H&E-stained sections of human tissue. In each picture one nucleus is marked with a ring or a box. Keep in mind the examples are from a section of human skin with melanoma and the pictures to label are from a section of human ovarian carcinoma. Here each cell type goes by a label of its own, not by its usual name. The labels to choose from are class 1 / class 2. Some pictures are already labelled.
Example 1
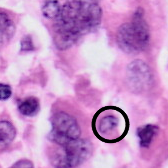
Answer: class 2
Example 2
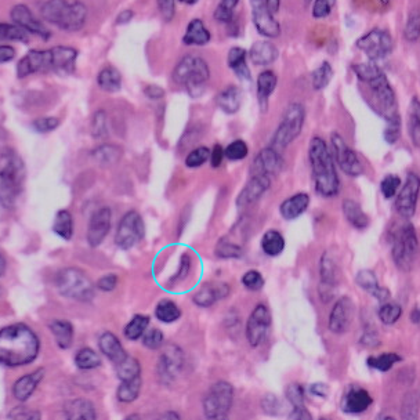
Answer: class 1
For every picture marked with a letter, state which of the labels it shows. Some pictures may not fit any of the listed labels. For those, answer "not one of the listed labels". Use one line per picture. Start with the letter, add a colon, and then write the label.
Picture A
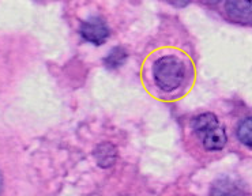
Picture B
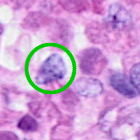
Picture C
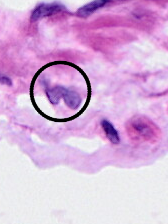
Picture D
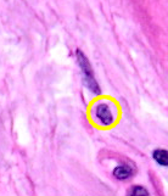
A: class 2
B: class 2
C: class 2
D: not one of the listed labels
